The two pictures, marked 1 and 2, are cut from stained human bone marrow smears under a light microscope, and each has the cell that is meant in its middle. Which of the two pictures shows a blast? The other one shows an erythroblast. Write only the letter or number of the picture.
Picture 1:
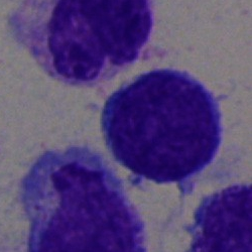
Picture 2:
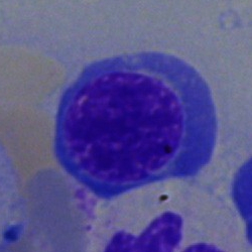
1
